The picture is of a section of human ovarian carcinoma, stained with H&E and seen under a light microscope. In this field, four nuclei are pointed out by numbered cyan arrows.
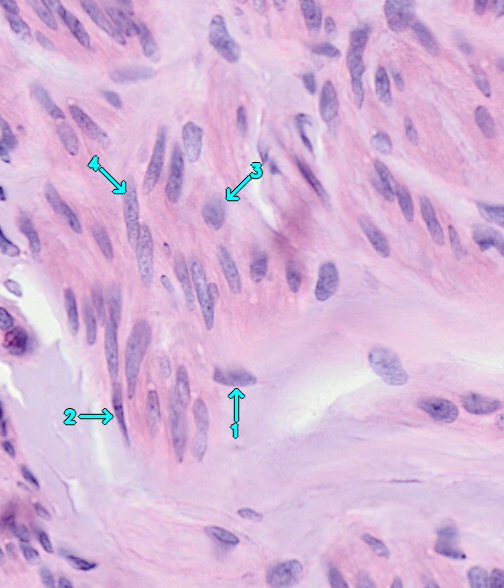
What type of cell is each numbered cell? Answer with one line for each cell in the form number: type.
1: fibroblast
2: smooth muscle cell
3: smooth muscle cell
4: smooth muscle cell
